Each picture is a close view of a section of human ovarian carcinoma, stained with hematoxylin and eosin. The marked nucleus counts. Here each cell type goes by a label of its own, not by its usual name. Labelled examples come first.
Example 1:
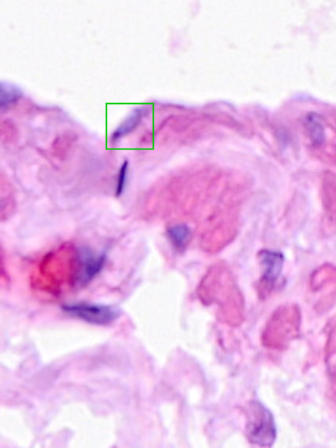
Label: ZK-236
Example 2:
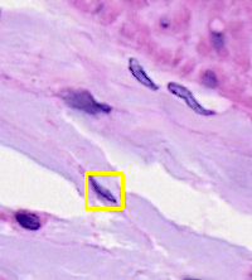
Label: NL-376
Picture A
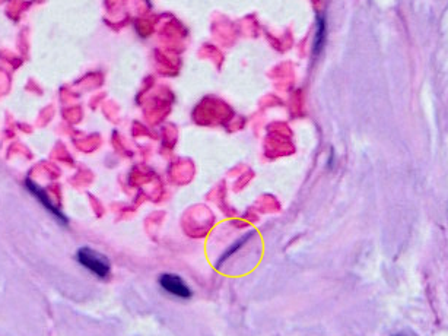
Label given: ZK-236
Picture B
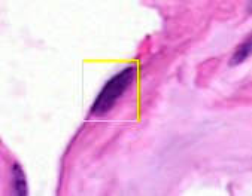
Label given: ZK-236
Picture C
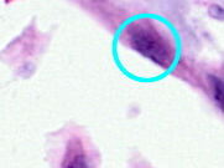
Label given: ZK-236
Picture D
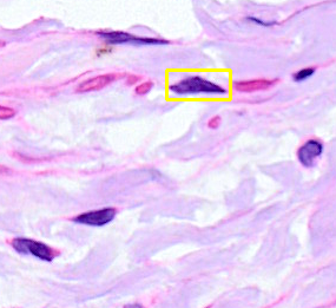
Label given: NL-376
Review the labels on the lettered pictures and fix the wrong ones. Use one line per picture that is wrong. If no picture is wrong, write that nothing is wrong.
Nothing to fix; every label fits.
